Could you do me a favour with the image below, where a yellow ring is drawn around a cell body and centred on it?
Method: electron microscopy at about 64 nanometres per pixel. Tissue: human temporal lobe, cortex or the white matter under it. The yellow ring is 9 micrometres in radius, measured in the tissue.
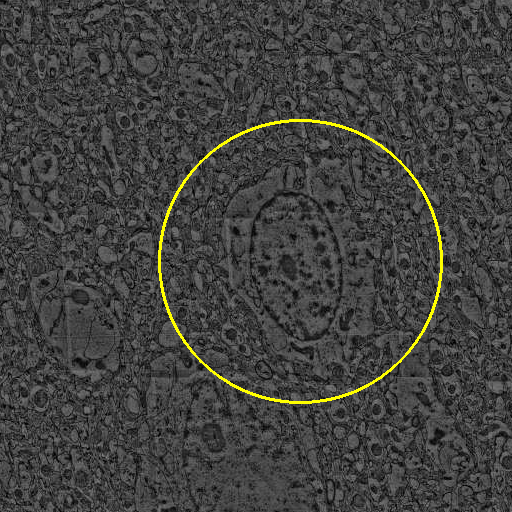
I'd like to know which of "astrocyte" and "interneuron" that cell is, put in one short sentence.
The cell at the ring's centre is an astrocyte.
